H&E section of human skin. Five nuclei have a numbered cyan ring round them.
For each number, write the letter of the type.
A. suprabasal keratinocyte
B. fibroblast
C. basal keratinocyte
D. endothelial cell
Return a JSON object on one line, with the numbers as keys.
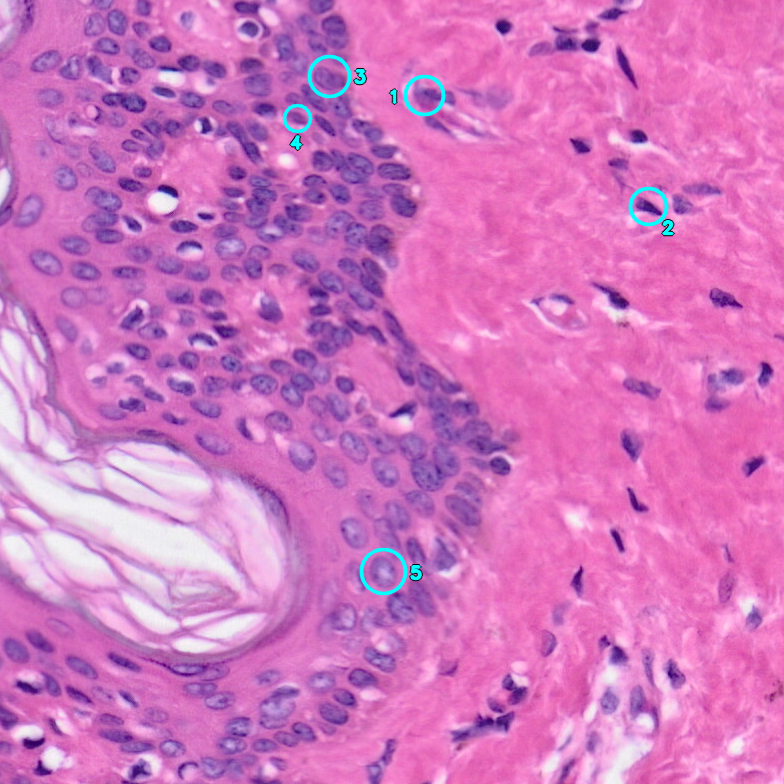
{"1": "D", "2": "B", "3": "C", "4": "C", "5": "A"}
